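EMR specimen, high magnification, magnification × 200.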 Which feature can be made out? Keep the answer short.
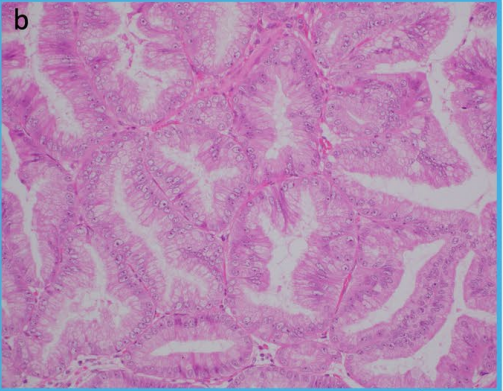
Branching tumor glands.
